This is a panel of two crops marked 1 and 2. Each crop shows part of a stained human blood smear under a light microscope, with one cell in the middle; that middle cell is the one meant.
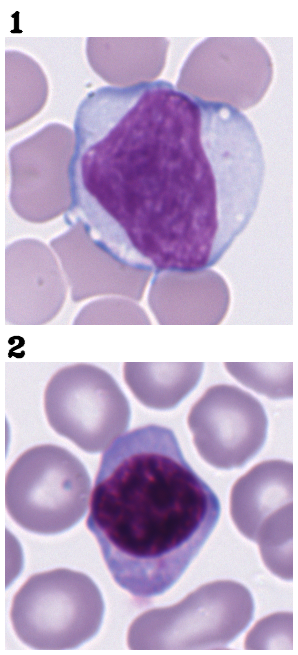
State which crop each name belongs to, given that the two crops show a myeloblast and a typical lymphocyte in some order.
1: myeloblast
2: typical lymphocyte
